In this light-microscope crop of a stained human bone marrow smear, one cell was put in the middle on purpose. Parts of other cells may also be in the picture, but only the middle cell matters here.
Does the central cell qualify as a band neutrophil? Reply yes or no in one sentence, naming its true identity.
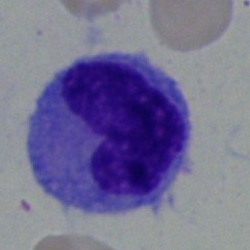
No, the cell under consideration is a monocyte instead of a band neutrophil.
